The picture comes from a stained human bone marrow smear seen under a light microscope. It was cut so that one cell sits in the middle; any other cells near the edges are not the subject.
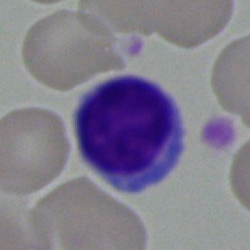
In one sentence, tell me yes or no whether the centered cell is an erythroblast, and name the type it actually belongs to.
No, the cell at the centre is identified as a lymphocyte, not as an erythroblast.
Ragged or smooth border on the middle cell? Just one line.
Nothing juts out from the margin, which is smooth throughout.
